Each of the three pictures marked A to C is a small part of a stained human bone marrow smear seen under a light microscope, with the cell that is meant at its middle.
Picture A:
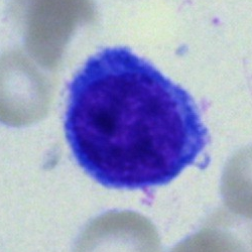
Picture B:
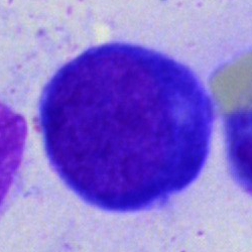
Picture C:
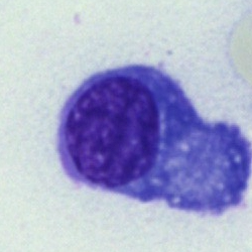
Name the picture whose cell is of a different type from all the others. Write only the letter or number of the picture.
C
